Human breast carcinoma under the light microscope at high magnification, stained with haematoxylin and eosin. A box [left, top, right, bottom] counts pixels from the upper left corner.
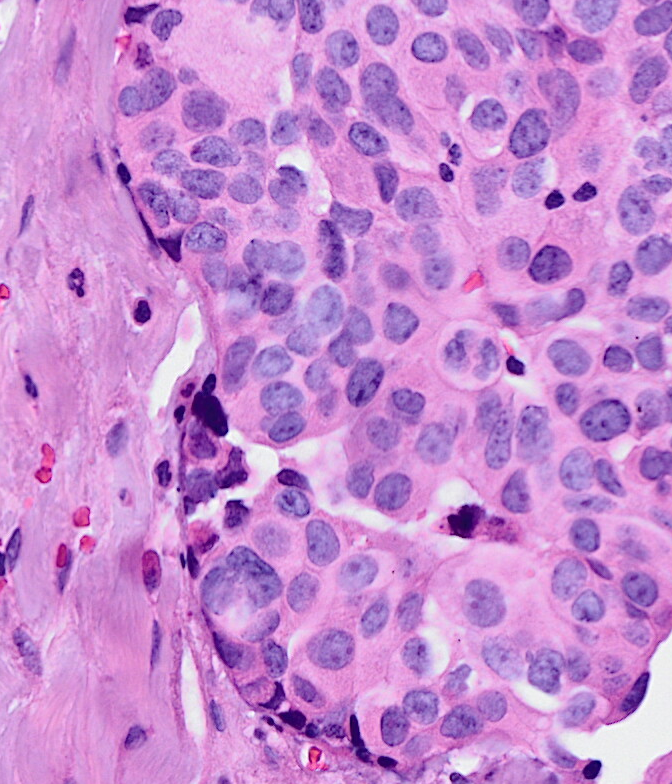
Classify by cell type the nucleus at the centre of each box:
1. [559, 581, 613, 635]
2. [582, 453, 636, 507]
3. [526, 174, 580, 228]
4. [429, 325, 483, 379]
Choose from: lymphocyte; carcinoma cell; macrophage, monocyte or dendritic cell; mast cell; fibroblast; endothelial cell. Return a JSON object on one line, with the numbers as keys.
{"1": "carcinoma cell", "2": "carcinoma cell", "3": "lymphocyte", "4": "carcinoma cell"}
